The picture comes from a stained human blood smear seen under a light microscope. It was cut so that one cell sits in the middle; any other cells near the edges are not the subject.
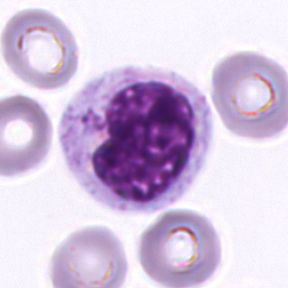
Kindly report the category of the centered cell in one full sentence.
The cell of interest, located centrally, is a metamyelocyte.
